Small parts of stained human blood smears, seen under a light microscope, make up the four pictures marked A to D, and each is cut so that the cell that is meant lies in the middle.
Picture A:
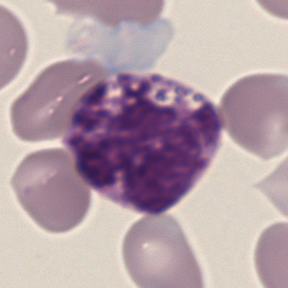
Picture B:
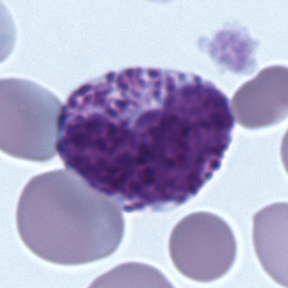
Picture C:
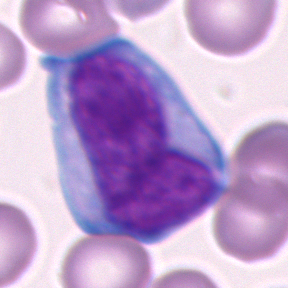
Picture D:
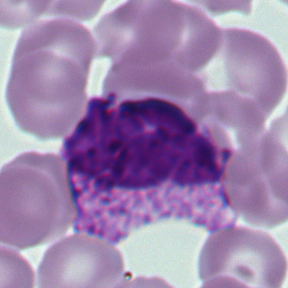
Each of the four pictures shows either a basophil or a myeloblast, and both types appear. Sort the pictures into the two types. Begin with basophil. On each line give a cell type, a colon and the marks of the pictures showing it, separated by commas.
basophil: A, B, D
myeloblast: C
